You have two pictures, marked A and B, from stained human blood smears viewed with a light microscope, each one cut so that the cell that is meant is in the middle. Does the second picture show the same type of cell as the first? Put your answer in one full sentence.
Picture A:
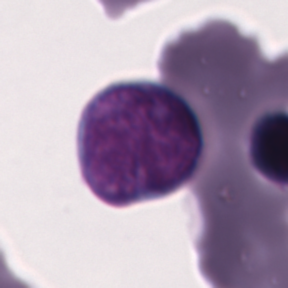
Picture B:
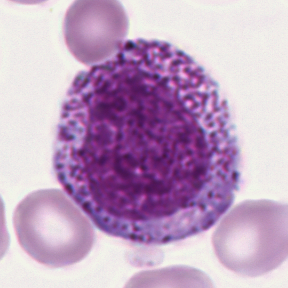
No. Picture A shows a myeloblast, but picture B shows a myelocyte.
